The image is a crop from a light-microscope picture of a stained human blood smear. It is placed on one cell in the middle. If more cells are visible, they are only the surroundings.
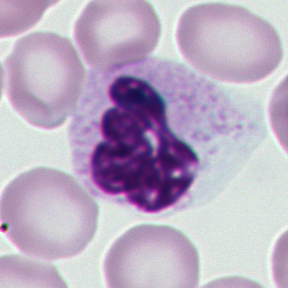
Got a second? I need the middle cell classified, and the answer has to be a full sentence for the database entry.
The cell nearest the centre of this crop is a neutrophil.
